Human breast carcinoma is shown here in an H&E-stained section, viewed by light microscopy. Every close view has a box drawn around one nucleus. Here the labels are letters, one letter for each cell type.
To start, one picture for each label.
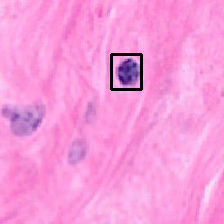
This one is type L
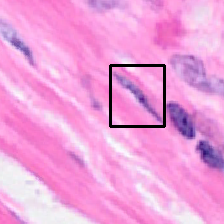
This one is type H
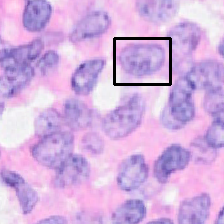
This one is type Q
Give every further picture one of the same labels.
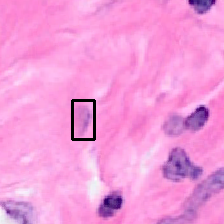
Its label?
type H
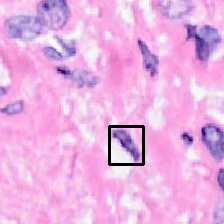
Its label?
type H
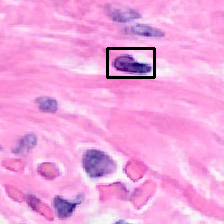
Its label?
type L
